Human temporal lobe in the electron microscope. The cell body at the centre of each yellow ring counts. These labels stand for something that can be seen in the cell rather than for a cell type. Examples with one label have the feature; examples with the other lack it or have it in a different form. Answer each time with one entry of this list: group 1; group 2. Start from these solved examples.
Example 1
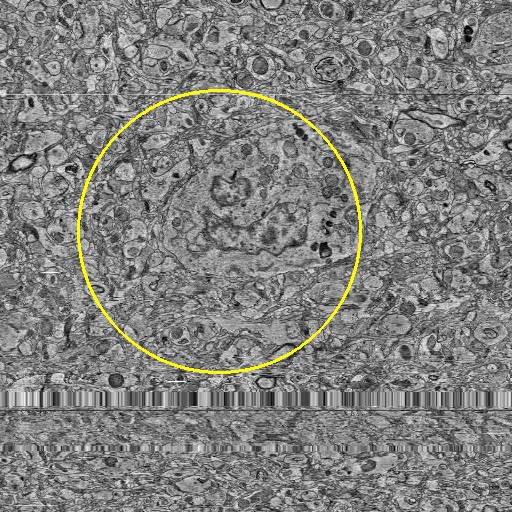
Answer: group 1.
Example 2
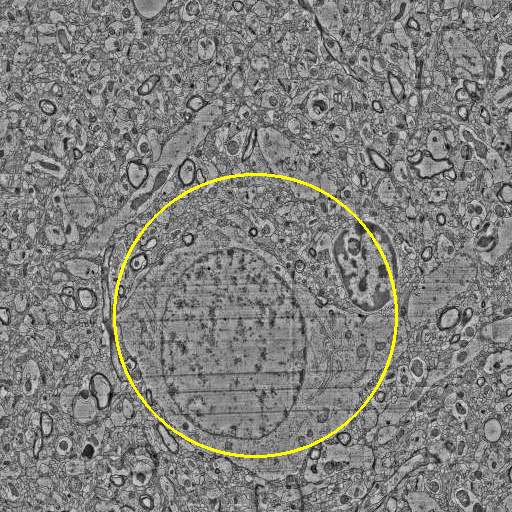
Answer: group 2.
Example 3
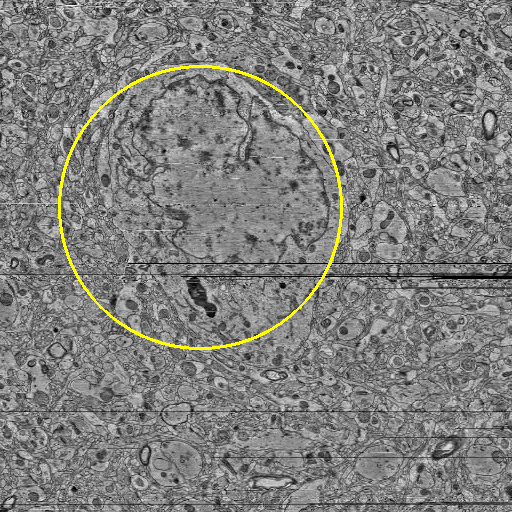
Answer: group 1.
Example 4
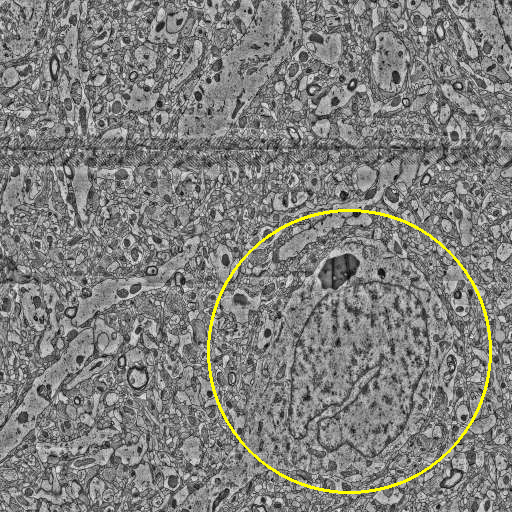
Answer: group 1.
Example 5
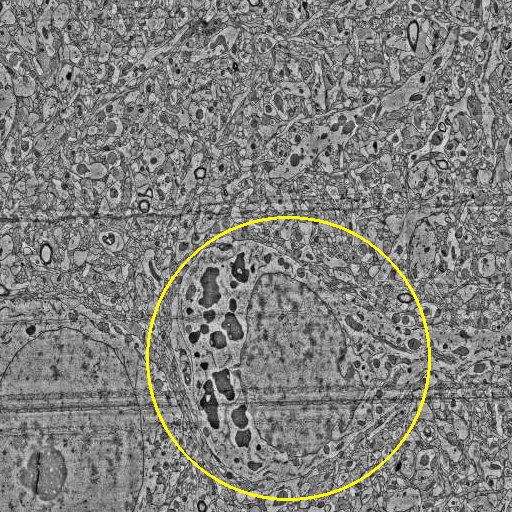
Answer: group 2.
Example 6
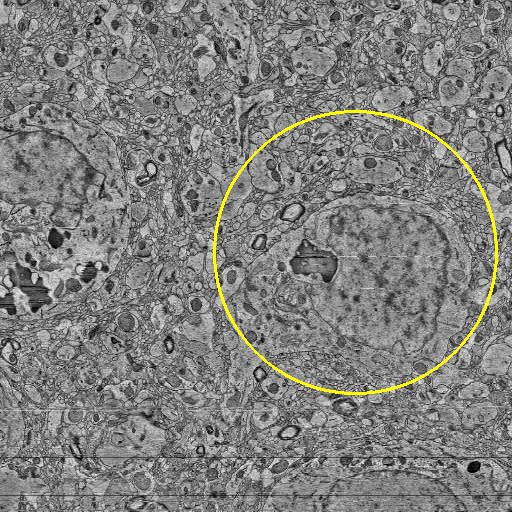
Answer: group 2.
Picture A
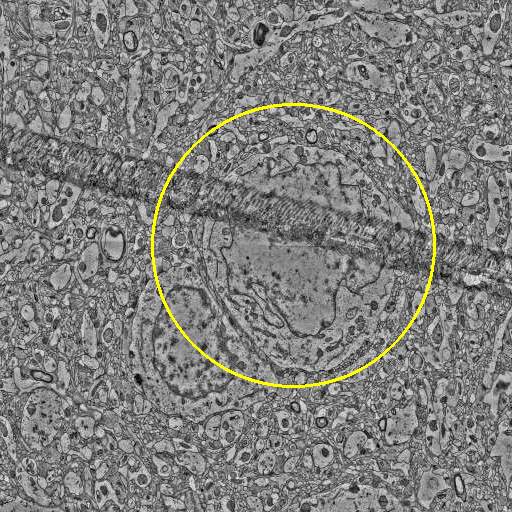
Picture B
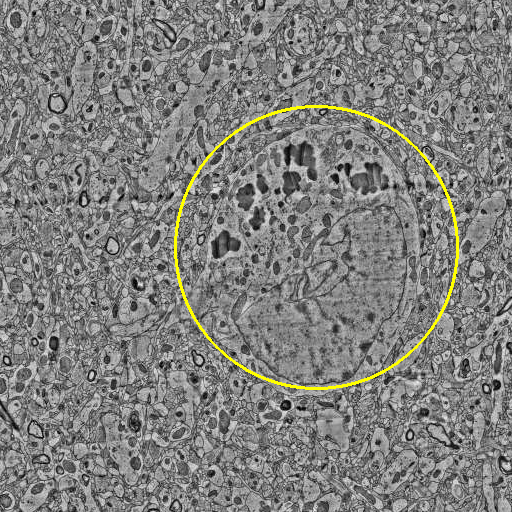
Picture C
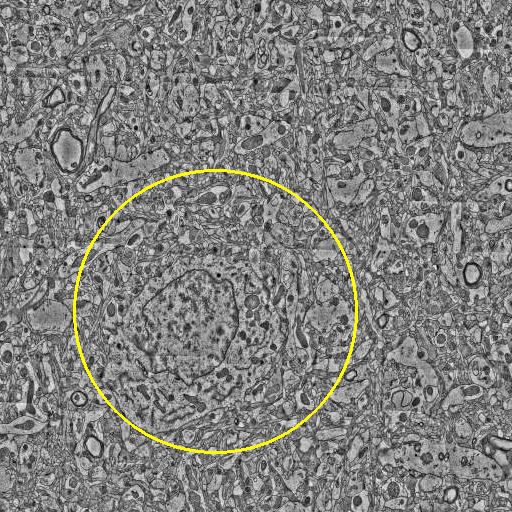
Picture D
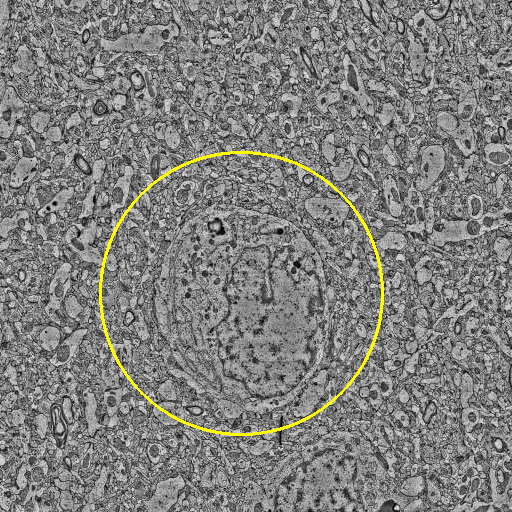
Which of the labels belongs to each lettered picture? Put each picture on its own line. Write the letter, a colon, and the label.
A: group 1.
B: group 1.
C: group 1.
D: group 1.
